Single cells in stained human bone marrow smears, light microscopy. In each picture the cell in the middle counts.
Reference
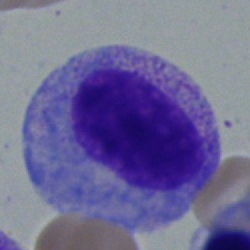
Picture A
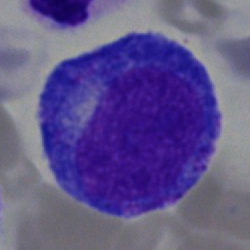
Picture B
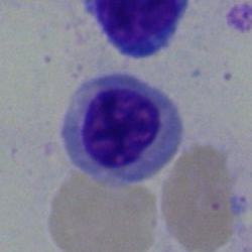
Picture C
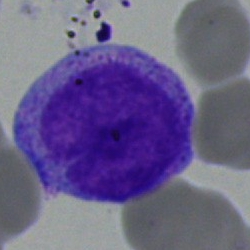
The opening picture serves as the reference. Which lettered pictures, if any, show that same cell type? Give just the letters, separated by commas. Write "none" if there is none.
none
